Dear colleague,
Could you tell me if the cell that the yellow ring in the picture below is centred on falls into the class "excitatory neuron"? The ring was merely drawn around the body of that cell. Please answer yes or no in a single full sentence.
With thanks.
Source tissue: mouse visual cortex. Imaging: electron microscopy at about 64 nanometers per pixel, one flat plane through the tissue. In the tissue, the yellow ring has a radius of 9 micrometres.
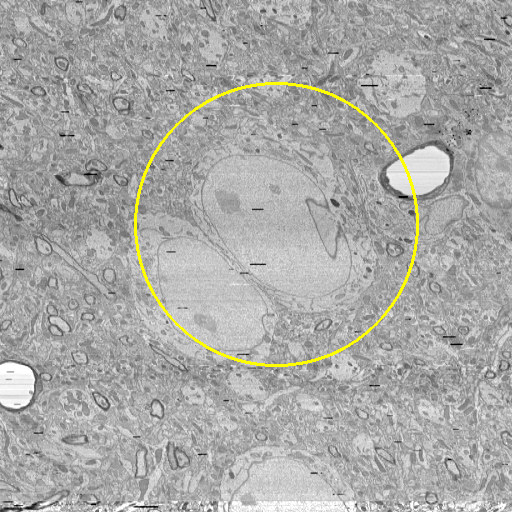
Yes, the cell on which the ring in your picture is centred falls into that class.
